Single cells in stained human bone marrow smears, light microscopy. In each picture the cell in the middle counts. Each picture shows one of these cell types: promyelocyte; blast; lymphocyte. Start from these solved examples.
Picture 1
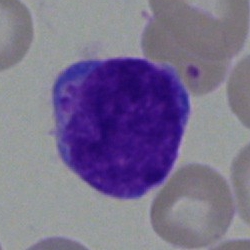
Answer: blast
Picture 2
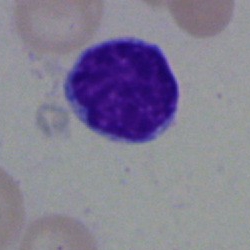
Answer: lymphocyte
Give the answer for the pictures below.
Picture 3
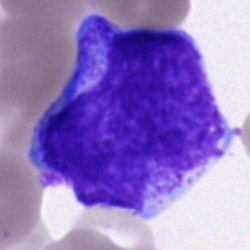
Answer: promyelocyte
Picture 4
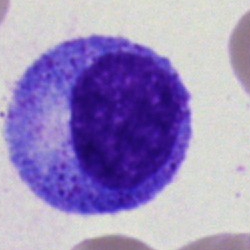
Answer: promyelocyte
